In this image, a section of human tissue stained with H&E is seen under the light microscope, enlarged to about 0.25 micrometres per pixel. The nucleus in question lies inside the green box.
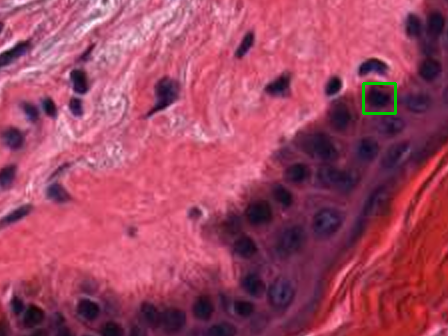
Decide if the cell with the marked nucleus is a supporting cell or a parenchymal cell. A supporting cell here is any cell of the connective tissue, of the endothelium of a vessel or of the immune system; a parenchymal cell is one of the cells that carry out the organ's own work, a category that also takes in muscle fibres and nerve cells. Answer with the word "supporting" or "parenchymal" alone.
parenchymal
